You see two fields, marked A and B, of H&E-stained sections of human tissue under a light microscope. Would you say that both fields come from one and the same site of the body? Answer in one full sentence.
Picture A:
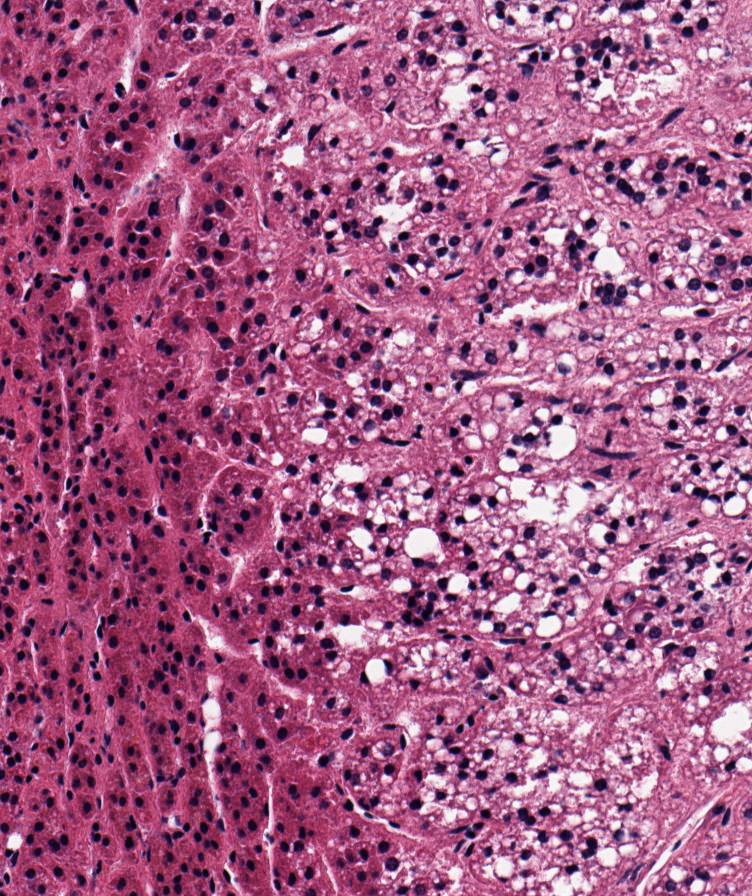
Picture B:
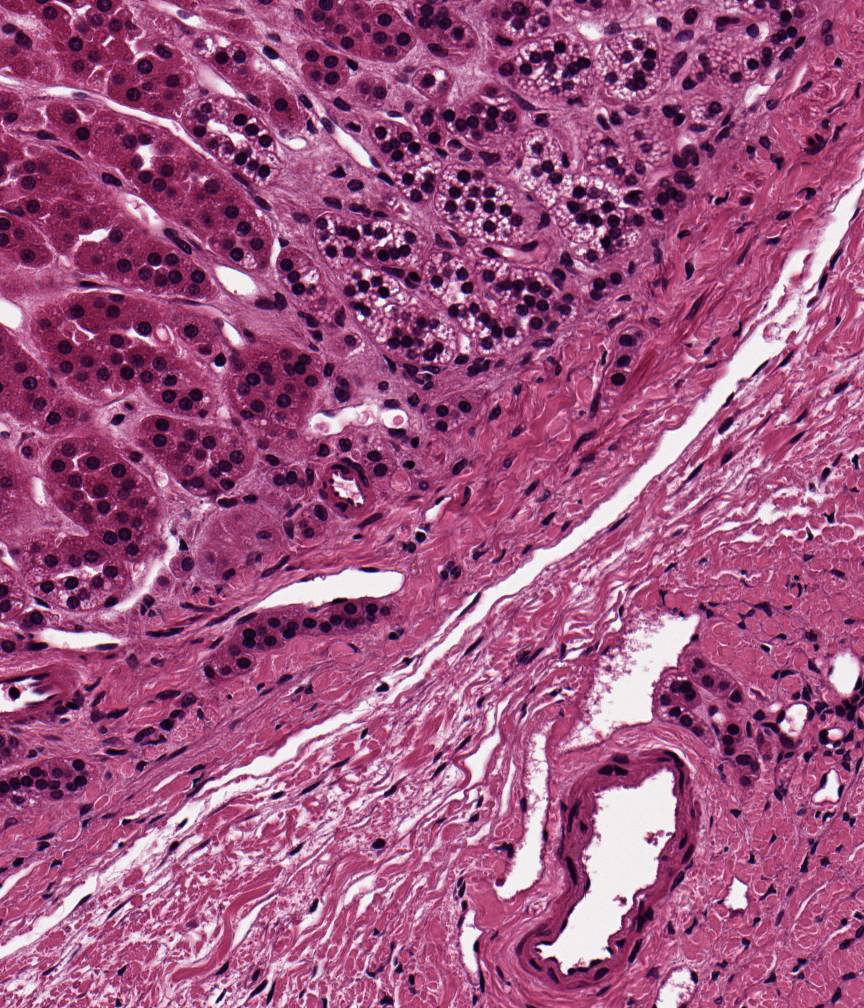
Yes, they come from the same site of the body: both come from the adrenal gland.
